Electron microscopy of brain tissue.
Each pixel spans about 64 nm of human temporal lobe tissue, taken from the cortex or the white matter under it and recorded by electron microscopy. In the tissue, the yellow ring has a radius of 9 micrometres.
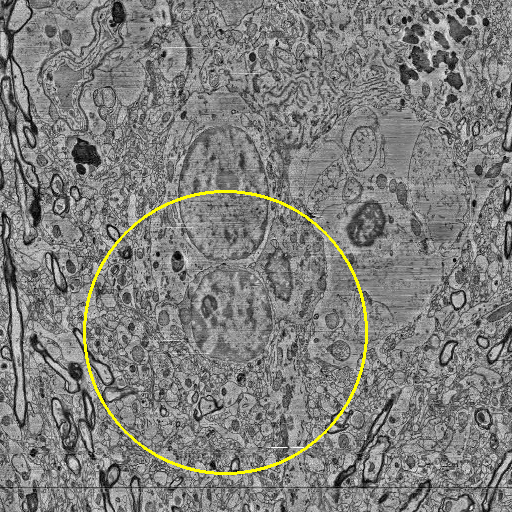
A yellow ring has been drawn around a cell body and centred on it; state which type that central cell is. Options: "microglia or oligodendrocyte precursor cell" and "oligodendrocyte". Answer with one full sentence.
The cell at the middle of the yellow ring is an oligodendrocyte in this picture.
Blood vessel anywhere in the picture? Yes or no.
Yes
